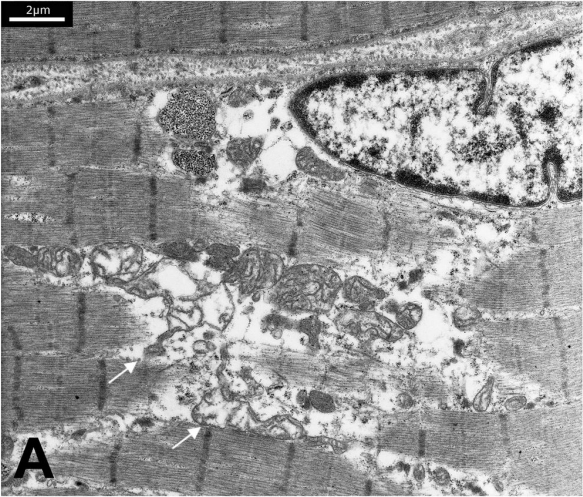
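This is skeletal muscle seen with the electron microscope, with striated myofibrils showing dark Z-lines running across the field and a myonucleus with dark rim of chromatin at the top. Between the myofibrils the sarcoplasmic space is widened into pale areas filled with fine granular material, convoluted membrane profiles and mitochondria of irregular shape.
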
